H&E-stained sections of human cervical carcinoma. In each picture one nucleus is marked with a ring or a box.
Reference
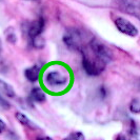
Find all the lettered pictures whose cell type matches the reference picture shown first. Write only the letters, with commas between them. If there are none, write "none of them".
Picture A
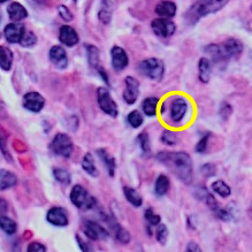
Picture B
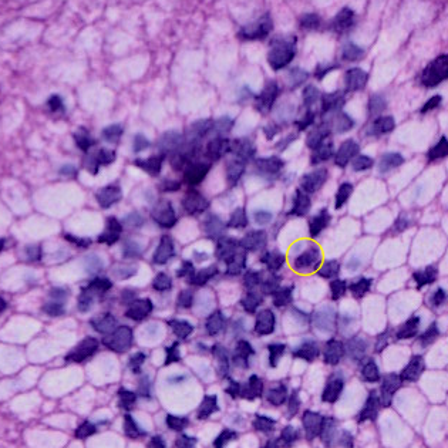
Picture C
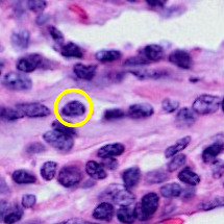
A, C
